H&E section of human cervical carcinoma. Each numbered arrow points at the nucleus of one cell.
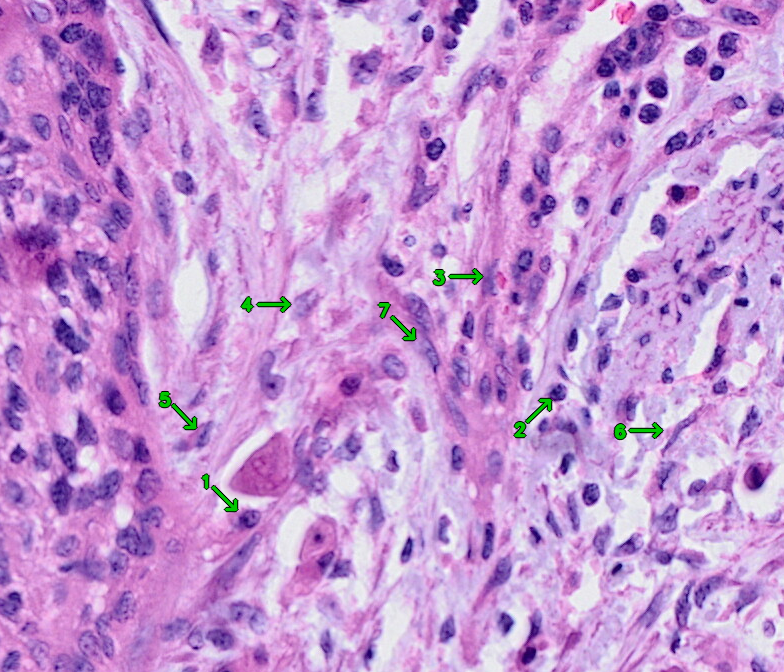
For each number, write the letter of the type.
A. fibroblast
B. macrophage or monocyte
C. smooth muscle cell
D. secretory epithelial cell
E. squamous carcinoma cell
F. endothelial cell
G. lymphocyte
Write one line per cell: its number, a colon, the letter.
1: B
2: G
3: F
4: A
5: A
6: A
7: F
